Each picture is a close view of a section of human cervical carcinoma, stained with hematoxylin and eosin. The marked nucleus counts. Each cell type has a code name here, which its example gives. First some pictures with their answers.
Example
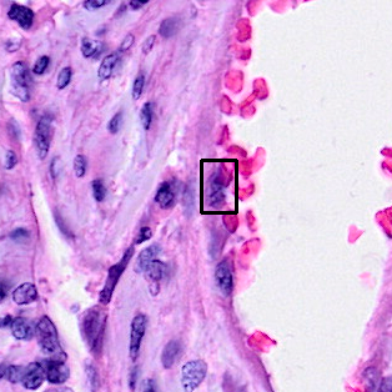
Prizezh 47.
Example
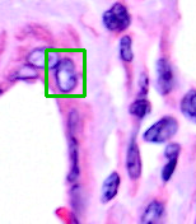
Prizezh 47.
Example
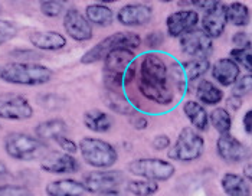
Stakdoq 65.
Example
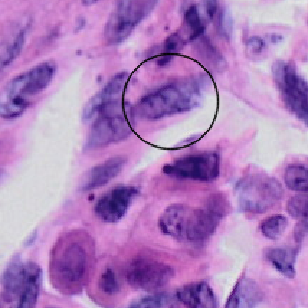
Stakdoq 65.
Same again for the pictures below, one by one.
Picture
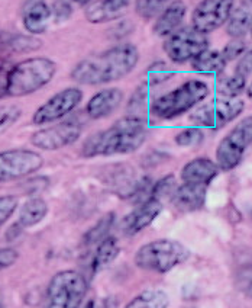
Stakdoq 65.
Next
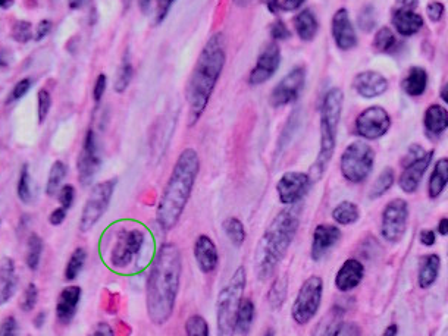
Prizezh 47.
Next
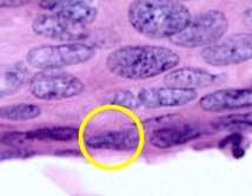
Stakdoq 65.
